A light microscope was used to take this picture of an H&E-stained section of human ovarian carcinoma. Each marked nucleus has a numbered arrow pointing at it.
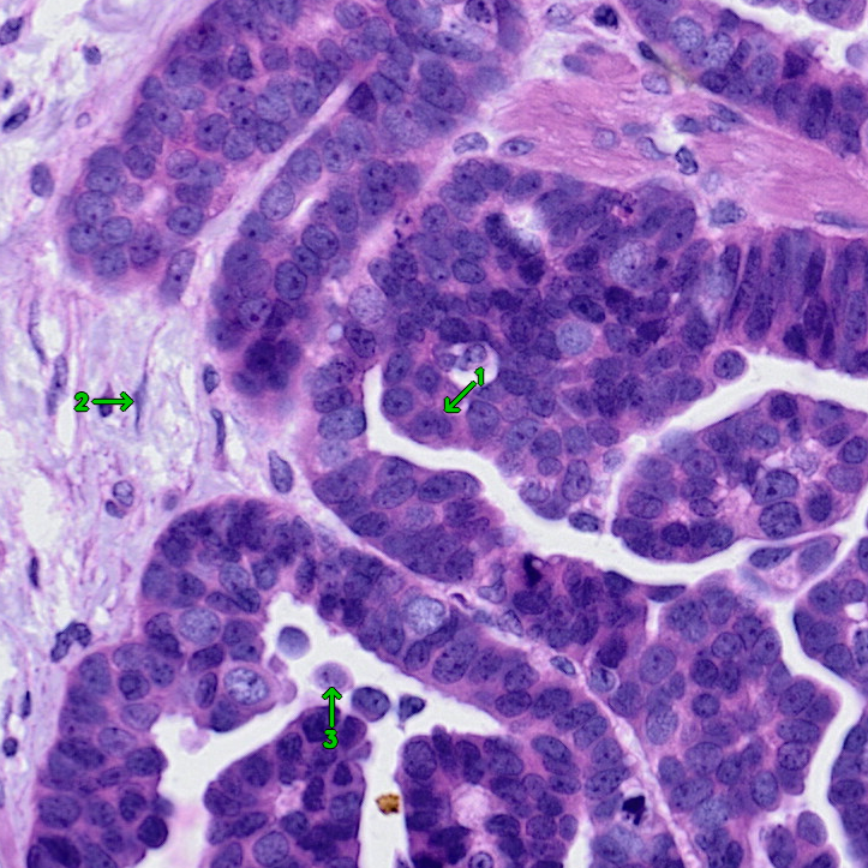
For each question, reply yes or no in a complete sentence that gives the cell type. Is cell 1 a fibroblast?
No, rather than a fibroblast, cell number 1 is a carcinoma cell.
